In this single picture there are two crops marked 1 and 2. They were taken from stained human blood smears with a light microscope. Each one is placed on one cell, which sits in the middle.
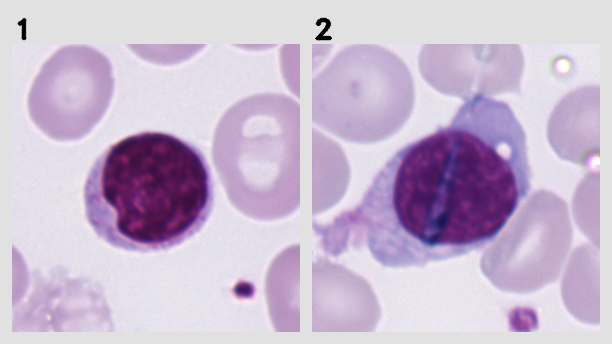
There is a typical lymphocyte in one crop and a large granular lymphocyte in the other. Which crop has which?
1: large granular lymphocyte
2: typical lymphocyte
